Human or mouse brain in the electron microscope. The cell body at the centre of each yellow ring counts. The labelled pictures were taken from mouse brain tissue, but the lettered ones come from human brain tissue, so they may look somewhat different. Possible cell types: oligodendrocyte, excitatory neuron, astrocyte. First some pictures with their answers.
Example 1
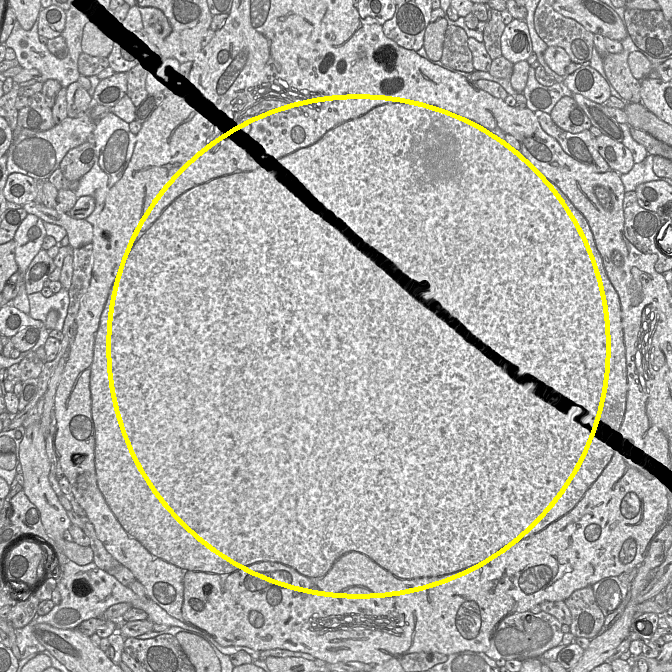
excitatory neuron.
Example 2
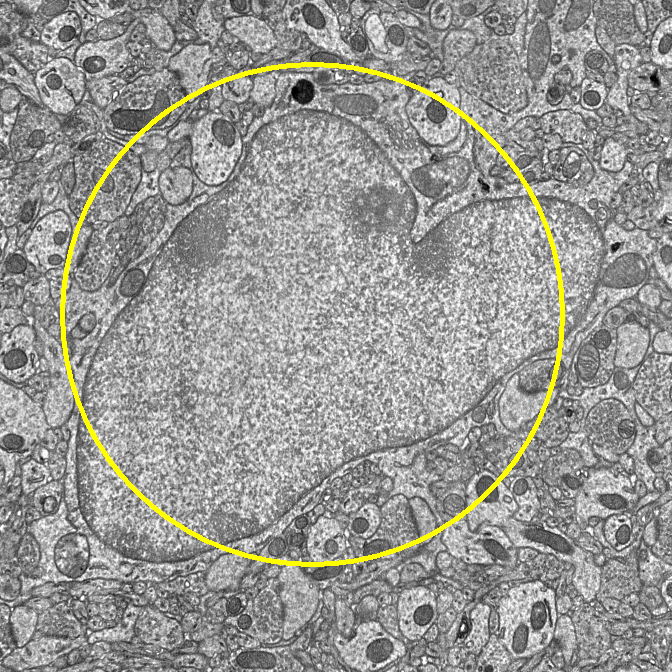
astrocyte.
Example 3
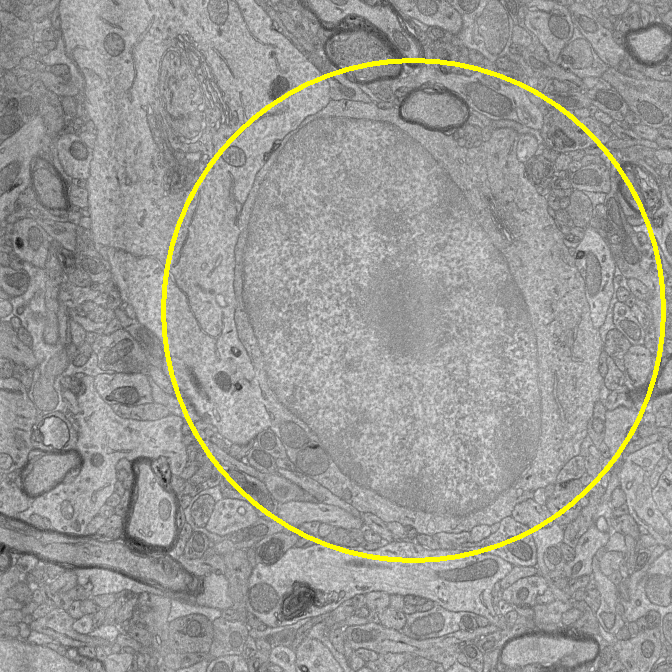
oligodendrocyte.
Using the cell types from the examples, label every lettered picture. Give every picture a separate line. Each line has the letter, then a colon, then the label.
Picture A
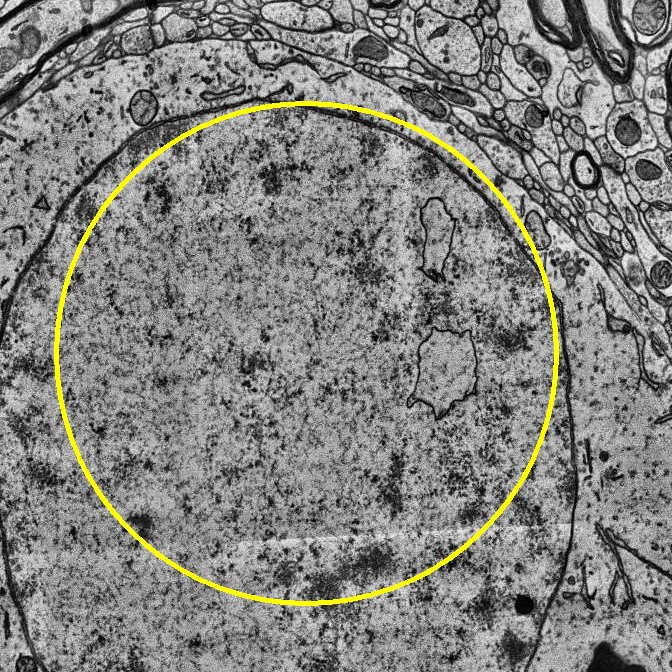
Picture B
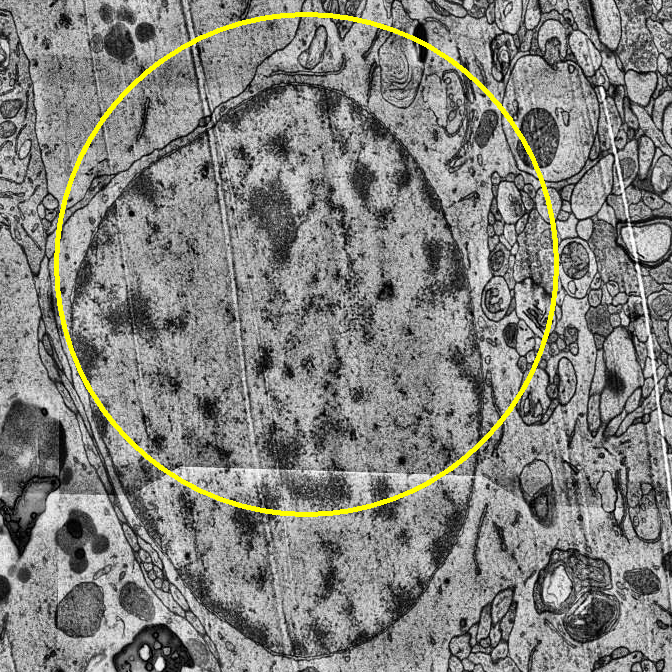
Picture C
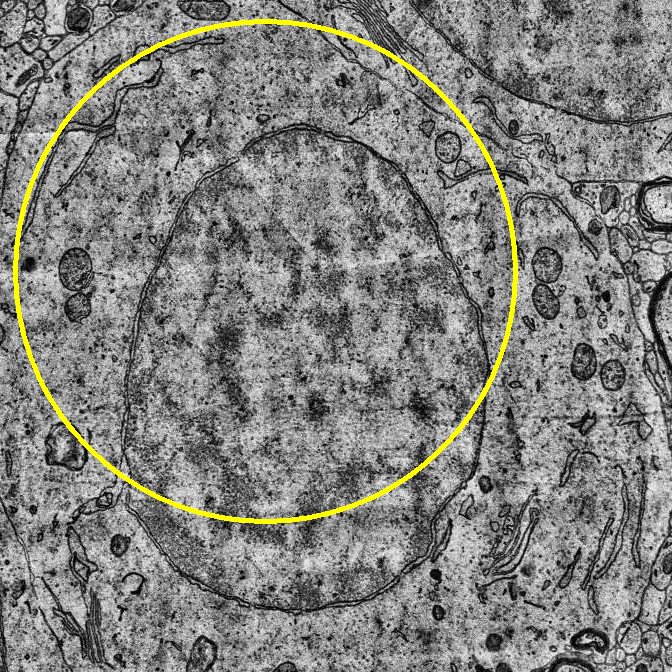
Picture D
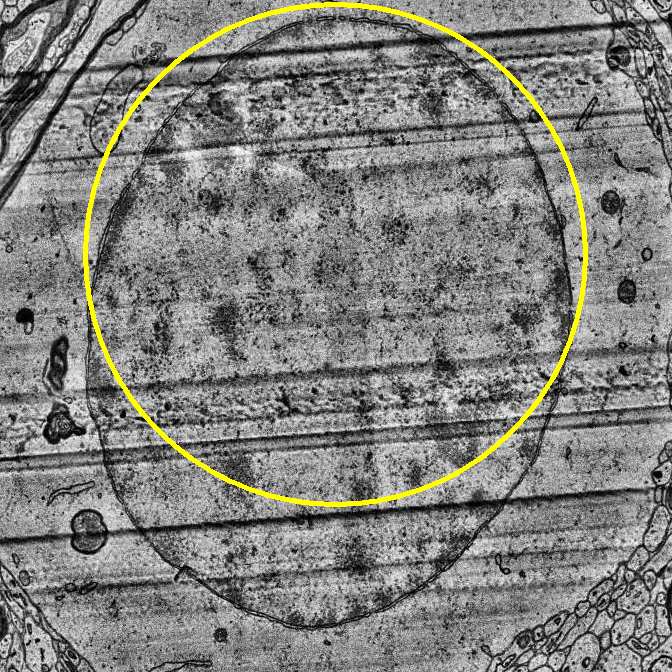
A: excitatory neuron.
B: astrocyte.
C: excitatory neuron.
D: astrocyte.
